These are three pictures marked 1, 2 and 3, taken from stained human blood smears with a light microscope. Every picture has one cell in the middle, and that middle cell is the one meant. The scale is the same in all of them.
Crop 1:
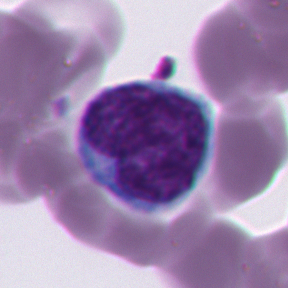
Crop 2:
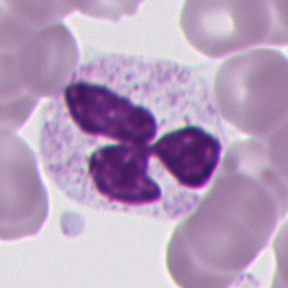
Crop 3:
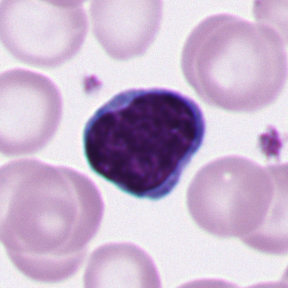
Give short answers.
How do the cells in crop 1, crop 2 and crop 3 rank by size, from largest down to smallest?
2, 1, 3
